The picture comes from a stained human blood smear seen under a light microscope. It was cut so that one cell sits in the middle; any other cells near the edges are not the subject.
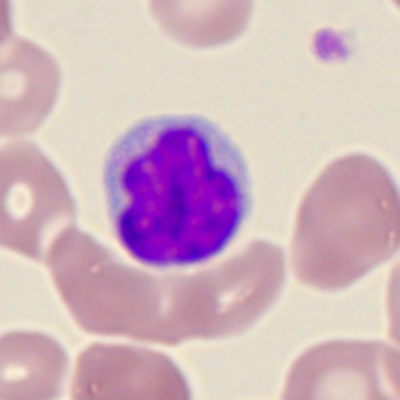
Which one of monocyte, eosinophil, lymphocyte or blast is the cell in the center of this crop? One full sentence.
Regarding the central cell, it is a lymphocyte.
